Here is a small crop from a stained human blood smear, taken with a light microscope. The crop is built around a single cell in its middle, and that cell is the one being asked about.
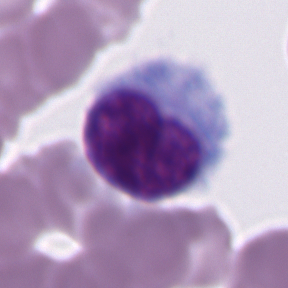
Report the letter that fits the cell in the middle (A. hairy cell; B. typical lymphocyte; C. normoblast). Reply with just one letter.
A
